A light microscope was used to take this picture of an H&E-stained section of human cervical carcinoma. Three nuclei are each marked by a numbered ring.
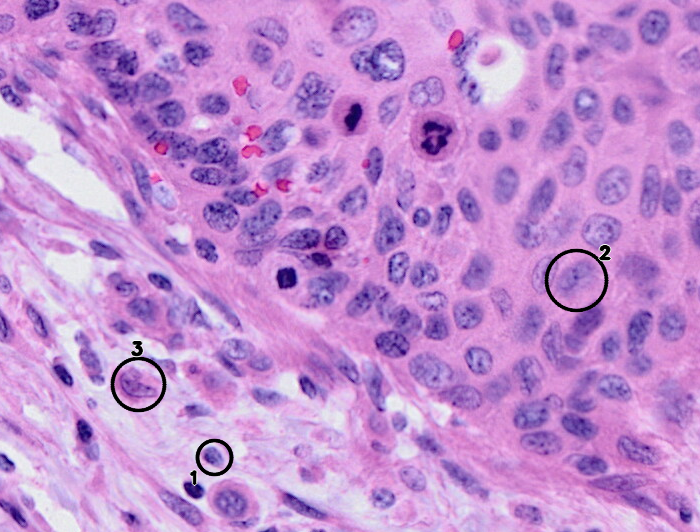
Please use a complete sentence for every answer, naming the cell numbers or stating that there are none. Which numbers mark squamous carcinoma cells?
Only the cell with number 2 is a squamous carcinoma cell.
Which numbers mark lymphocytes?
Cell 1 is the only one of the numbered cells that is a lymphocyte.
